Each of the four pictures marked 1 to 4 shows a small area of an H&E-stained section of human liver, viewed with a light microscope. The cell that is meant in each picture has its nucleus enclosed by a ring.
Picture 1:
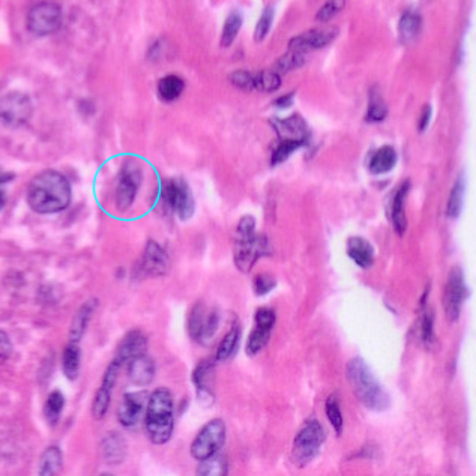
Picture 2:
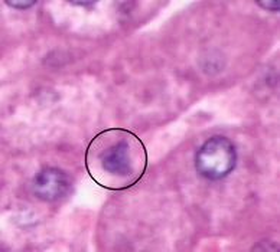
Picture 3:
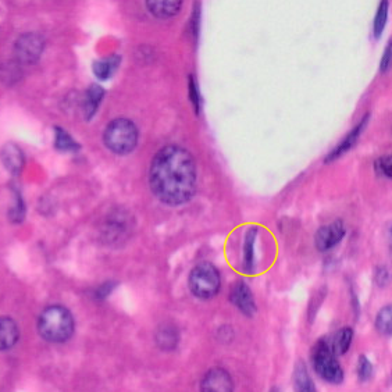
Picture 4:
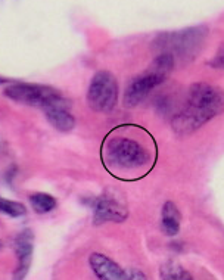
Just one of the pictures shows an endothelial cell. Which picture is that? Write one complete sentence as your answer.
The endothelial cell is the one in picture 2.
